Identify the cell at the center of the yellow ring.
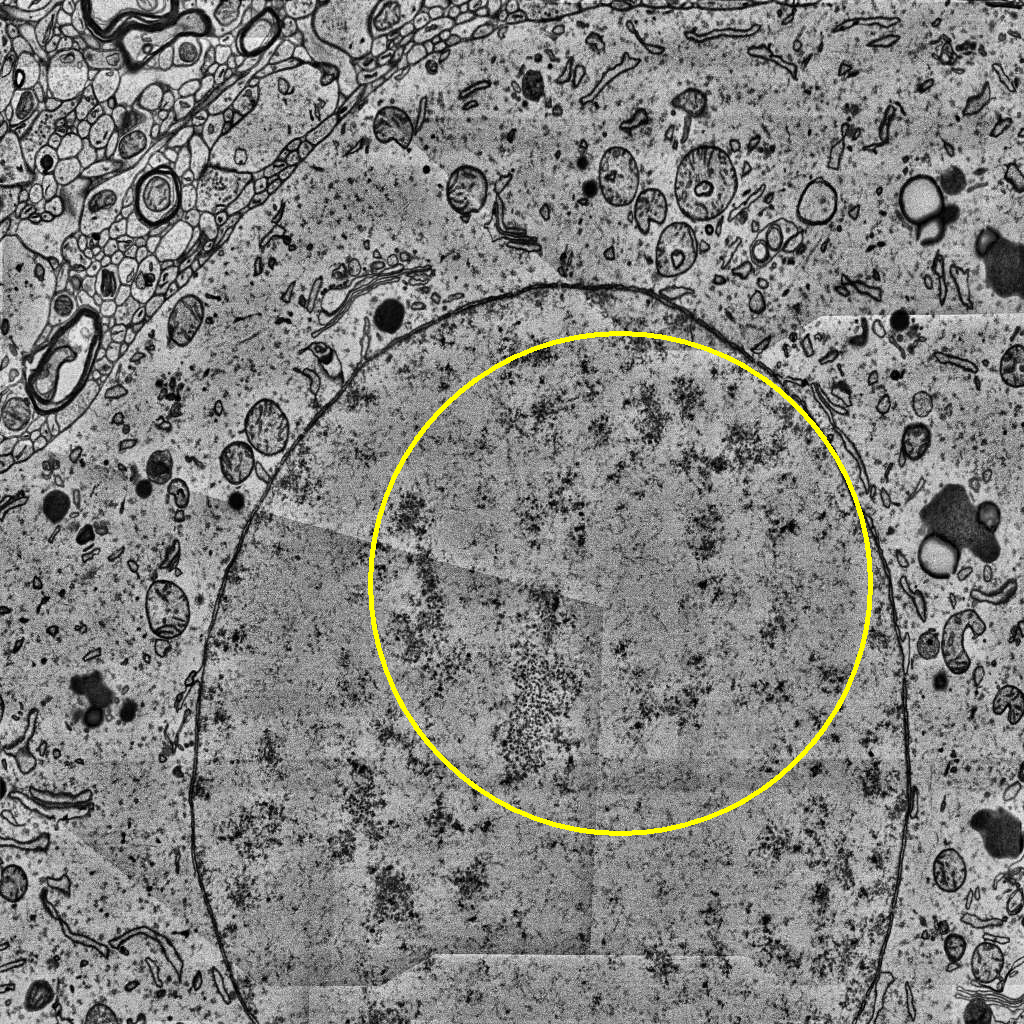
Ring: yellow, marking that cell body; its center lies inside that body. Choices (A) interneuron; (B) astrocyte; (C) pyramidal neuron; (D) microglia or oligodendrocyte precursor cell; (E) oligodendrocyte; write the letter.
C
